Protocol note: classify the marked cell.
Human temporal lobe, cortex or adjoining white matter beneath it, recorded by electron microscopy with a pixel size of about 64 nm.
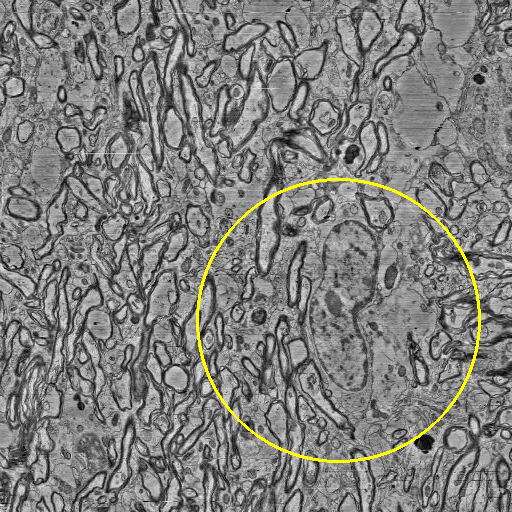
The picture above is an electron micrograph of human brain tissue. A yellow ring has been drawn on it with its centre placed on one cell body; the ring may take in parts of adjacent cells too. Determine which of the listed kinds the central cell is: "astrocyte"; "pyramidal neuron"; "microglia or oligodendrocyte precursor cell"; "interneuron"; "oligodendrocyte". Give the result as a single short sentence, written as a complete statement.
The central cell is a microglial cell or oligodendrocyte precursor cell.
